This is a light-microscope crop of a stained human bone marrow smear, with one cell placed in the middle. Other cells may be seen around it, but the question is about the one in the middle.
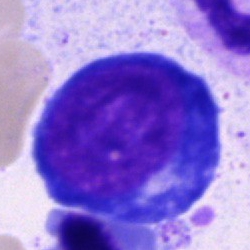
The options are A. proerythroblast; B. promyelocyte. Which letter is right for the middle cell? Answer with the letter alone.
A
